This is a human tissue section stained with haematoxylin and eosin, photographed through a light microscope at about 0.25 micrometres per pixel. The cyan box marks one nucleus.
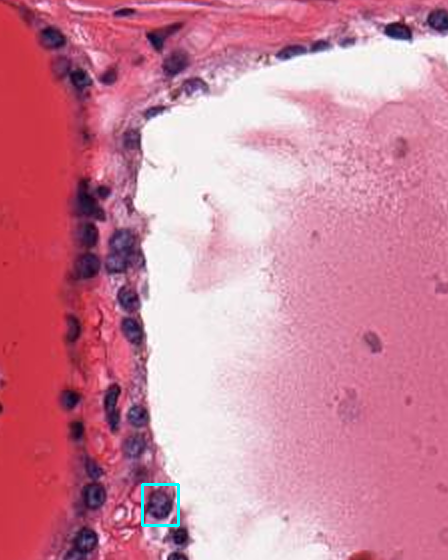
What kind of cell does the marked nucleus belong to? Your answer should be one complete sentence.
The nucleus singled out by the mark belongs to a thyroid follicular cell.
